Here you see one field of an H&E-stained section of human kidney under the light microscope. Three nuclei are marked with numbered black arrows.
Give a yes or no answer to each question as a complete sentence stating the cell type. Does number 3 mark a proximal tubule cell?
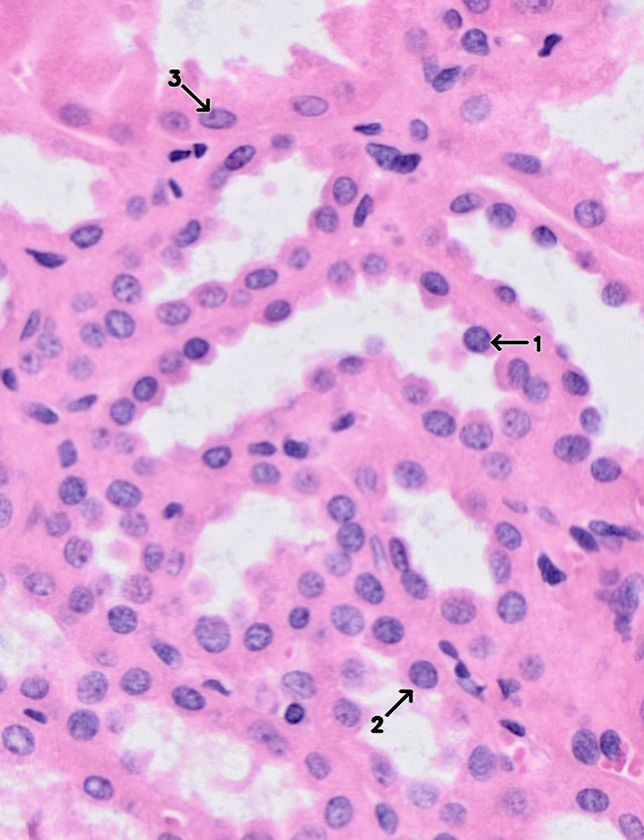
Yes, the one numbered 3 is a proximal tubule cell.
